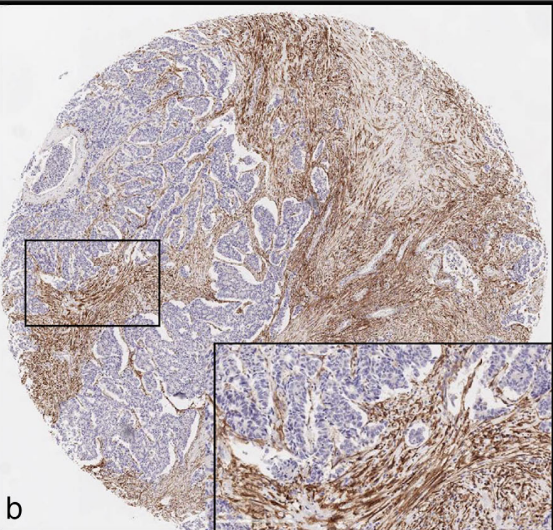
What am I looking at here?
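Carcinoma core with tumor cells in branching nests and trabeculae separated by broad stroma of cancer‐associated fibroblasts. The tumor cells have crowded blue nuclei and are free of brown stain. The stromal fibroblasts are elongated spindle cells in streaming, interlacing bundles and are strongly brown. The inset shows the sharp border between the blue epithelial nests and the brown fibroblast bundles.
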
